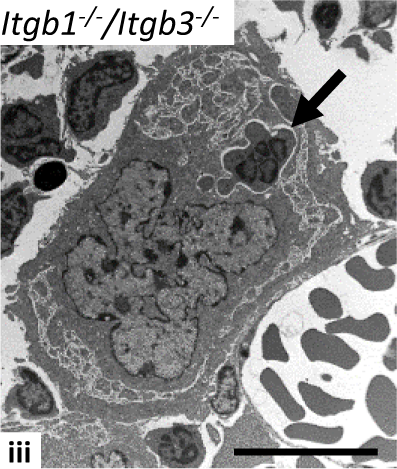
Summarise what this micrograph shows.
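A mature megakaryocyte in bone marrow shows a large lobulated nucleus and cytoplasm laced with pale membrane channels. Near its upper right edge a small cell with a dark, dense nucleus lies enclosed within the megakaryocyte cytoplasm, an example of one cell inside another. Red blood cells appear as dark profiles in the vessel space beside it.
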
